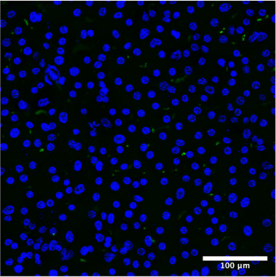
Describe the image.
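Blue nuclei are round to oval, closely packed and evenly spread over the whole field; many show a speckled, granular texture inside. Cell borders are not visible. Green signal is sparse and faint: only a few small dots and short, thin lines appear in the spaces between nuclei, and long branched green tubules are largely absent. The background between the nuclei is dark.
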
